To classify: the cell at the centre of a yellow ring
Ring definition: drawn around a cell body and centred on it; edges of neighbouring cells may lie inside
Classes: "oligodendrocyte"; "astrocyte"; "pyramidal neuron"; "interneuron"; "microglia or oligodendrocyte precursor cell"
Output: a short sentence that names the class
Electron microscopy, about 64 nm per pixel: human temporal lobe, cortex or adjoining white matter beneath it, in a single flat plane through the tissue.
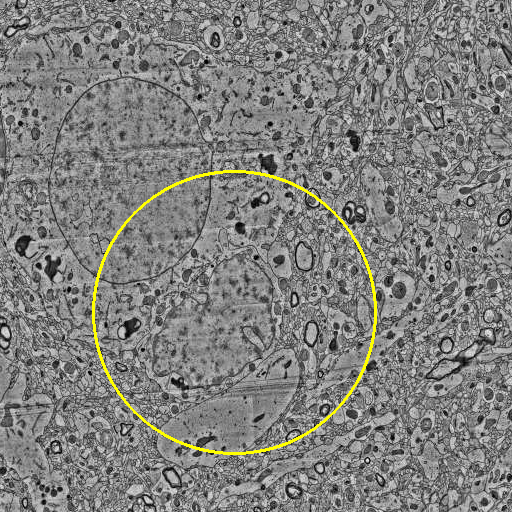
The ringed cell is an interneuron.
